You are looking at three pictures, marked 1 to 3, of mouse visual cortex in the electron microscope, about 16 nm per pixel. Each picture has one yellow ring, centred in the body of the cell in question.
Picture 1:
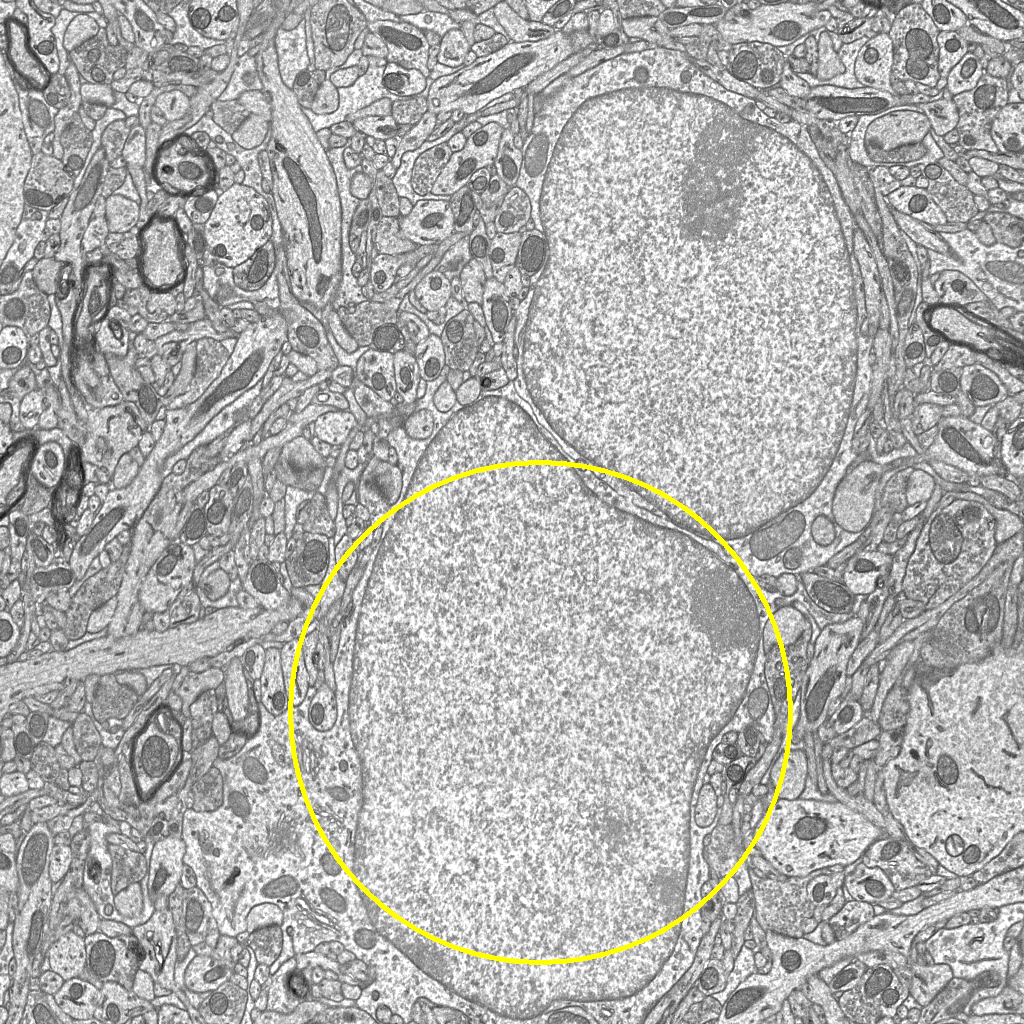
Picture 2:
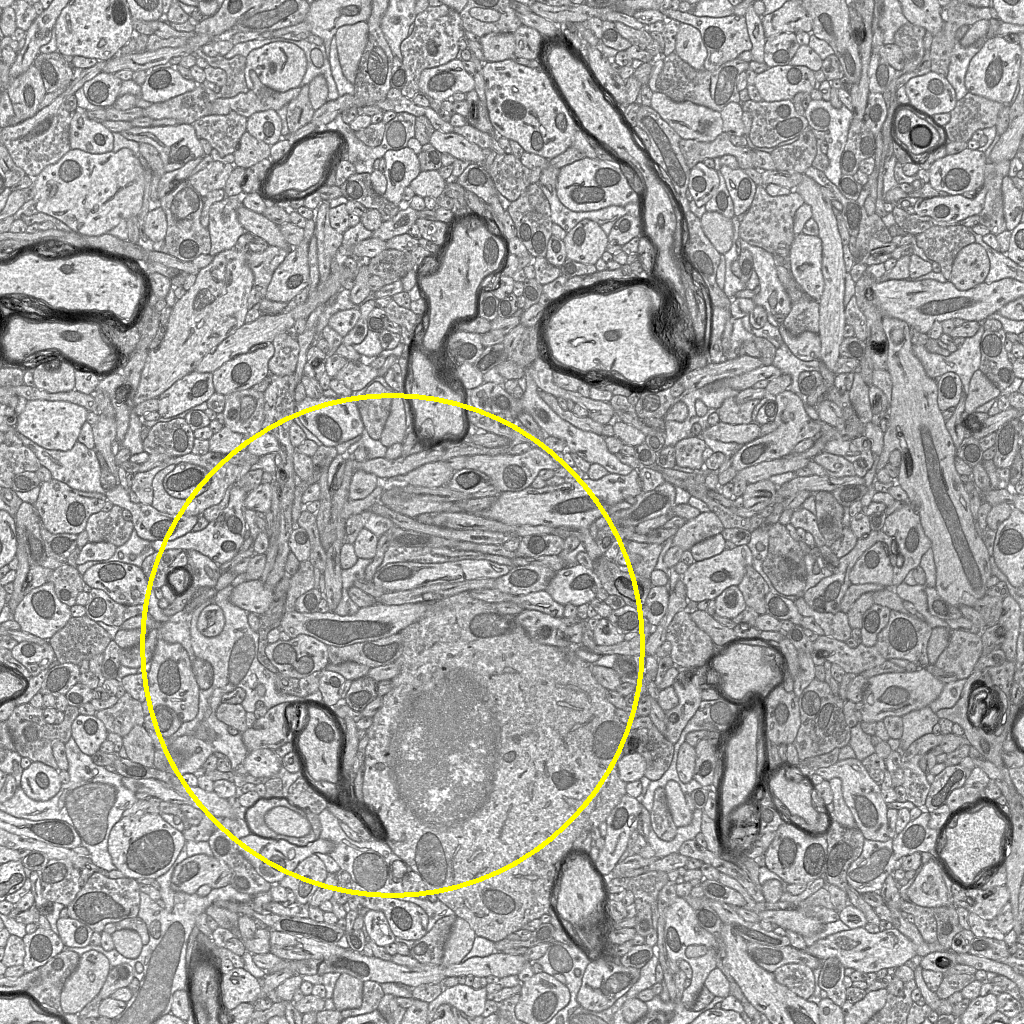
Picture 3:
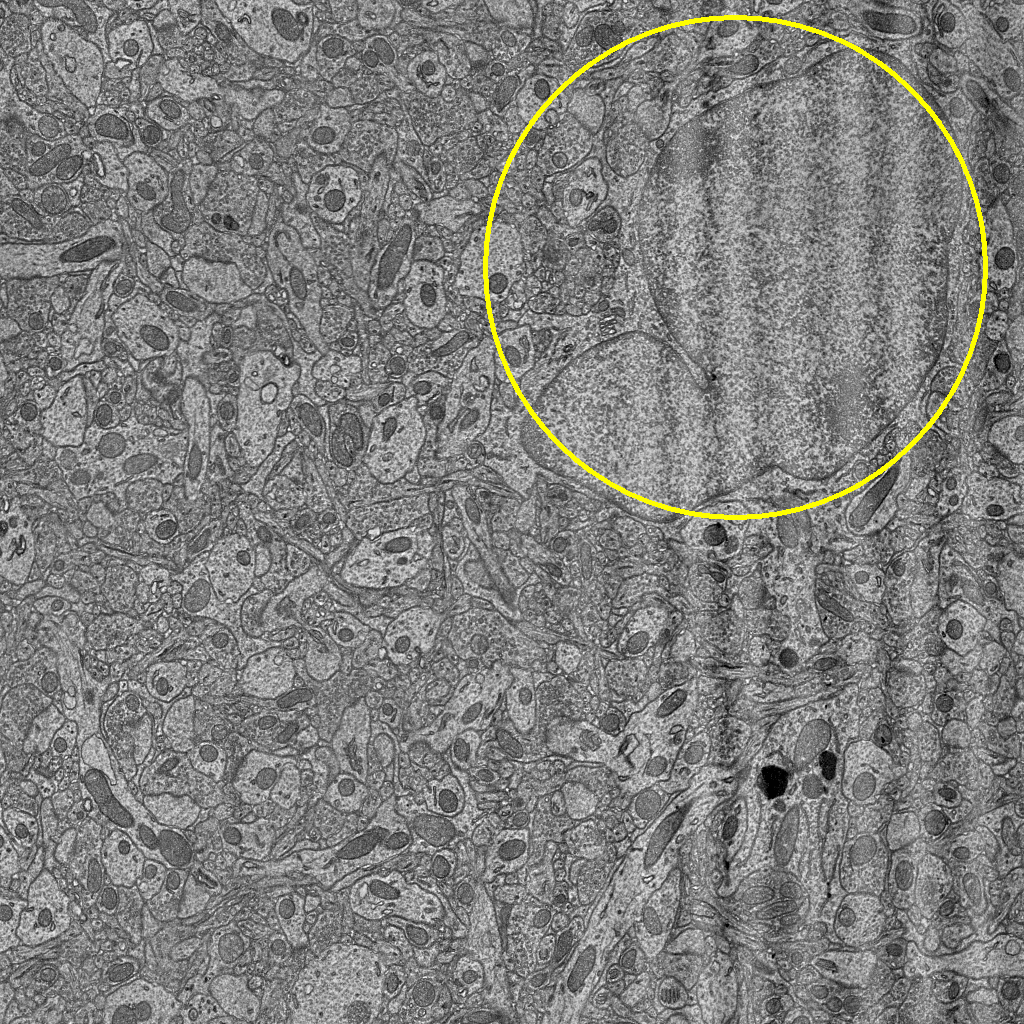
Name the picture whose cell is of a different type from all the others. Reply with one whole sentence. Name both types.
The different one is picture 2; it shows an oligodendrocyte, whereas all the others show astrocytes.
